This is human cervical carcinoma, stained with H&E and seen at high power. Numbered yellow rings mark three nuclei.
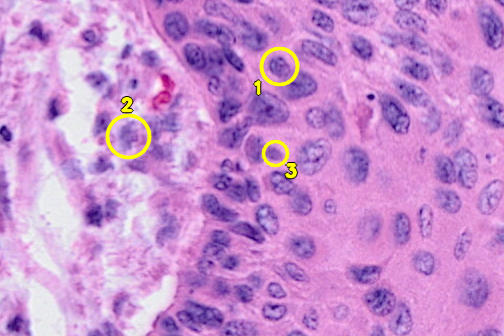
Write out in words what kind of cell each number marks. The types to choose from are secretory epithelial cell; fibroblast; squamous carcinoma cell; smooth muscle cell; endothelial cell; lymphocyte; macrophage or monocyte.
Cells 1 and 3 are squamous carcinoma cells. Cell 2 is a fibroblast.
